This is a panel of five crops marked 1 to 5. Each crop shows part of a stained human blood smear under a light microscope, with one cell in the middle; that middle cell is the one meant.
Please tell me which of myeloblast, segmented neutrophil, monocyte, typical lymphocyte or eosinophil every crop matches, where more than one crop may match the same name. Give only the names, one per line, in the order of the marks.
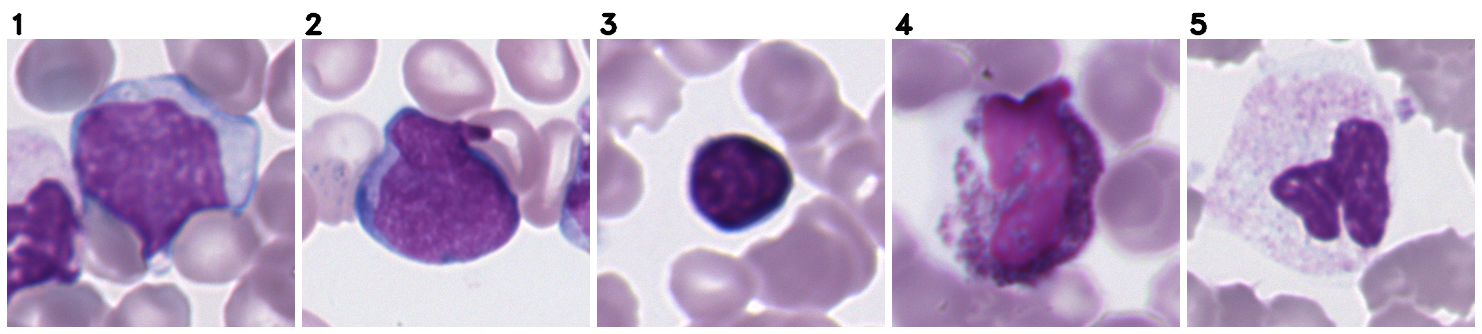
myeloblast
myeloblast
typical lymphocyte
eosinophil
segmented neutrophil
